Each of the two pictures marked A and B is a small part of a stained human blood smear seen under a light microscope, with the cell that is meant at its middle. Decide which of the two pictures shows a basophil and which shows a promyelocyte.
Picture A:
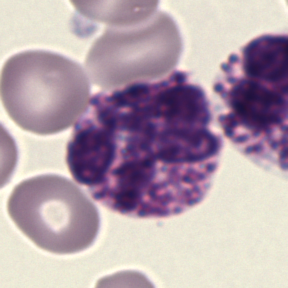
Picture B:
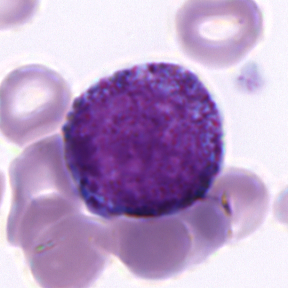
A: basophil
B: promyelocyte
